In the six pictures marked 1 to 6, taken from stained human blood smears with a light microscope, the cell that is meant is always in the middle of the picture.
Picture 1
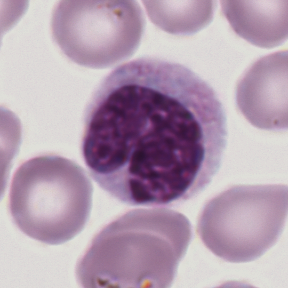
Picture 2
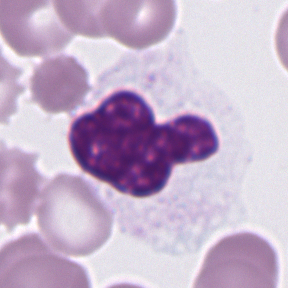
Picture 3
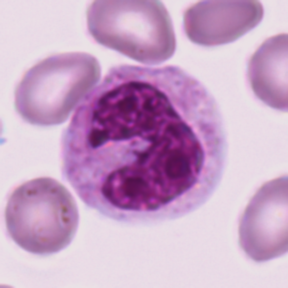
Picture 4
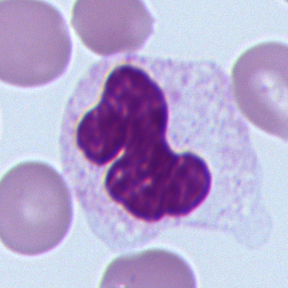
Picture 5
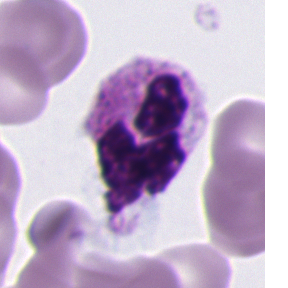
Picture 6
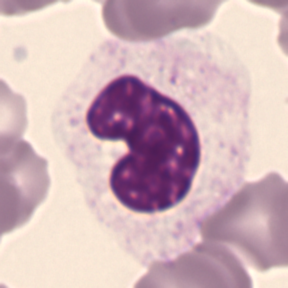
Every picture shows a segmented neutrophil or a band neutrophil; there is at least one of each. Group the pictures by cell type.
1: band neutrophil
2: segmented neutrophil
3: band neutrophil
4: band neutrophil
5: segmented neutrophil
6: band neutrophil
